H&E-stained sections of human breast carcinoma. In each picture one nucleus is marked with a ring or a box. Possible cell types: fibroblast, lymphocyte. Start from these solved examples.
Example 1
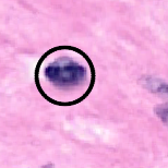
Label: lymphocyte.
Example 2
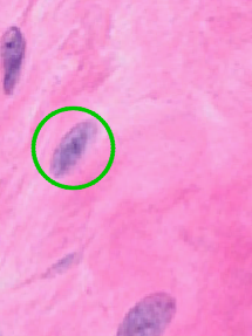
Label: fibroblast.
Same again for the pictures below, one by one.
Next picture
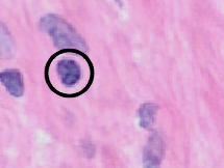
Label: lymphocyte.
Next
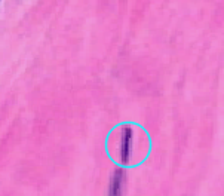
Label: fibroblast.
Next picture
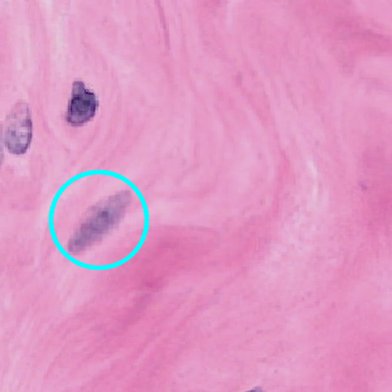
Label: fibroblast.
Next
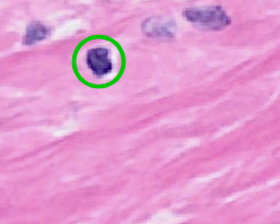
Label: lymphocyte.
